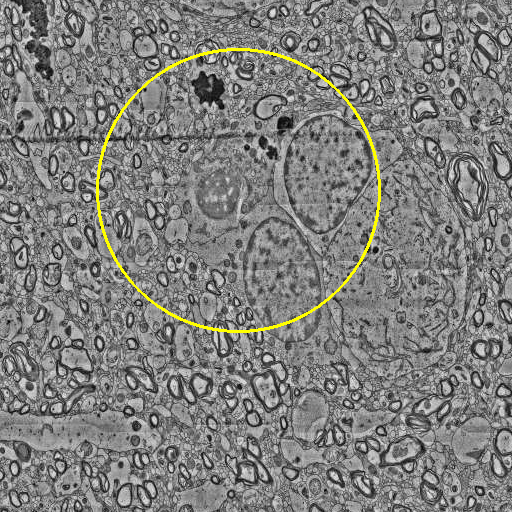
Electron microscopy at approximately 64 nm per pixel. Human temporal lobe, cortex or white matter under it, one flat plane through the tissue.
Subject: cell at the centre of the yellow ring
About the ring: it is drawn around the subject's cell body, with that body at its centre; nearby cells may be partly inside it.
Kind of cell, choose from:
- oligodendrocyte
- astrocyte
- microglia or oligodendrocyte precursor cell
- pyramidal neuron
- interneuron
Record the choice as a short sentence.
The subject cell is an oligodendrocyte.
